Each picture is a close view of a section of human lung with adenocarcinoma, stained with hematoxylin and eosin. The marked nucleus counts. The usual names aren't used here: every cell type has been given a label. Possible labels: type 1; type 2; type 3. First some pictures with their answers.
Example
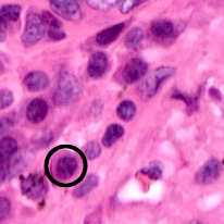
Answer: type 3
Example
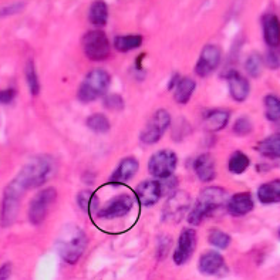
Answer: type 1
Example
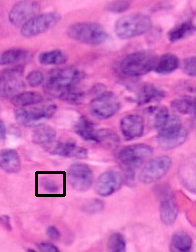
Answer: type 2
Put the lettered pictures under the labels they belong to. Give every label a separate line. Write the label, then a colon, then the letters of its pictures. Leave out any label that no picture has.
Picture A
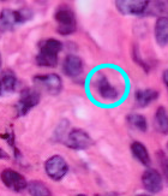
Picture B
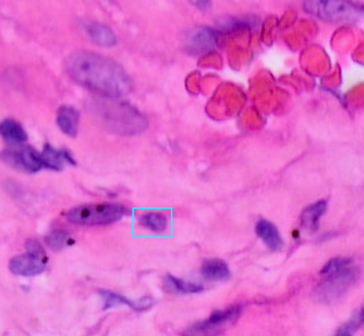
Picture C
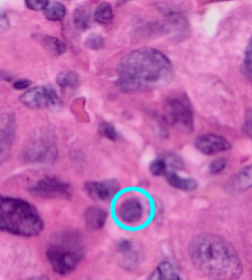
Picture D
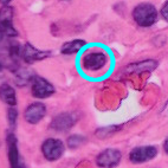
type 1: A, C, D
type 2: B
